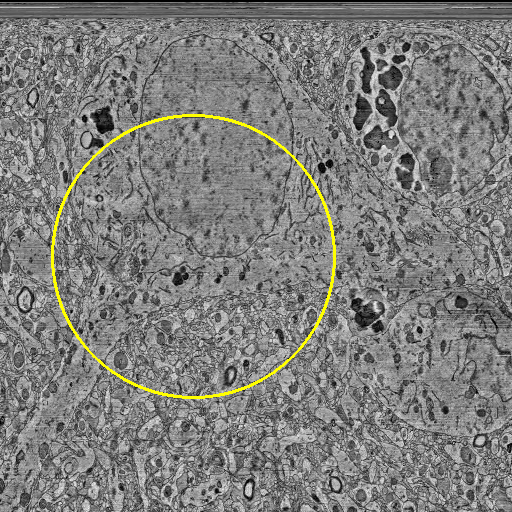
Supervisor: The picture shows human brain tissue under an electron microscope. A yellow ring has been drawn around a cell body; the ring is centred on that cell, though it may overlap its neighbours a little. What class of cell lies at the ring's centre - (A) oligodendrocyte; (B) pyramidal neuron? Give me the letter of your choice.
B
